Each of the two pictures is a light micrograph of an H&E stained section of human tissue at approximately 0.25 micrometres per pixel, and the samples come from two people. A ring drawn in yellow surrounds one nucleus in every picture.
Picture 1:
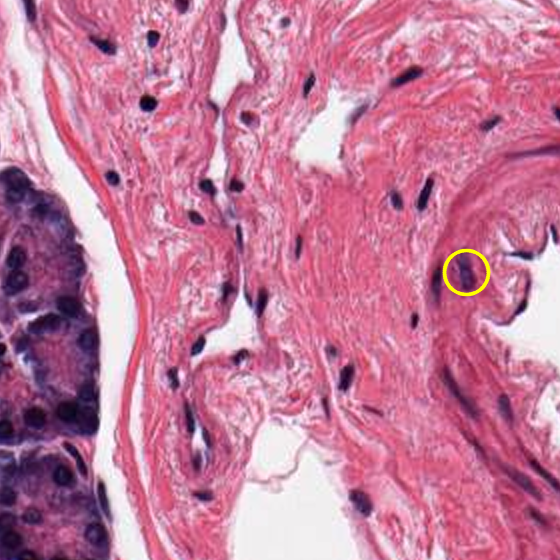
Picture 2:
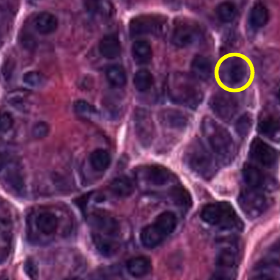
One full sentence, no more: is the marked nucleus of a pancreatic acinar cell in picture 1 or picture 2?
Shown in picture 2 is a marked nucleus belonging to a pancreatic acinar cell.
